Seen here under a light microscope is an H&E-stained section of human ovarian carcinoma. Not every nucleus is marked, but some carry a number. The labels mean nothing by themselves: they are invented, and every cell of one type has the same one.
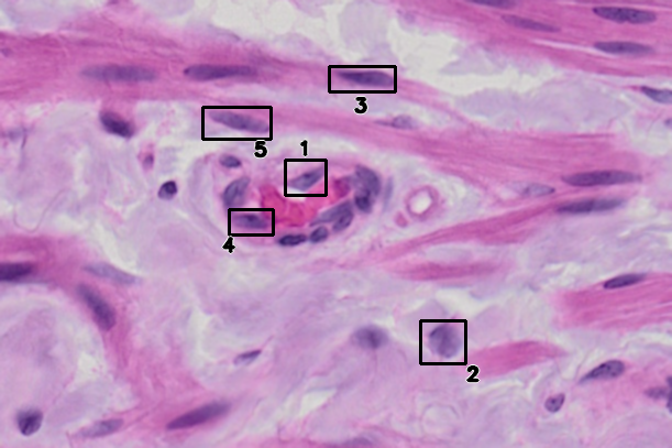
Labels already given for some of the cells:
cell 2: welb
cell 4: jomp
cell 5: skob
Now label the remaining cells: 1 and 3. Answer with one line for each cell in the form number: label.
1: jomp
3: skob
